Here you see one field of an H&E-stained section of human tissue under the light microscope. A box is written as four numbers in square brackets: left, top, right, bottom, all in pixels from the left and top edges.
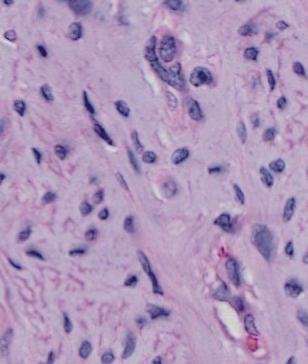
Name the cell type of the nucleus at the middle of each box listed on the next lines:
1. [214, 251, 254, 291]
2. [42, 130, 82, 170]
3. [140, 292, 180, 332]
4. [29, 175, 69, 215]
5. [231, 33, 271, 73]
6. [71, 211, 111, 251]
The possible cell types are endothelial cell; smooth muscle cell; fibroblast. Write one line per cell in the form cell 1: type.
cell 1: endothelial cell
cell 2: smooth muscle cell
cell 3: fibroblast
cell 4: smooth muscle cell
cell 5: smooth muscle cell
cell 6: smooth muscle cell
